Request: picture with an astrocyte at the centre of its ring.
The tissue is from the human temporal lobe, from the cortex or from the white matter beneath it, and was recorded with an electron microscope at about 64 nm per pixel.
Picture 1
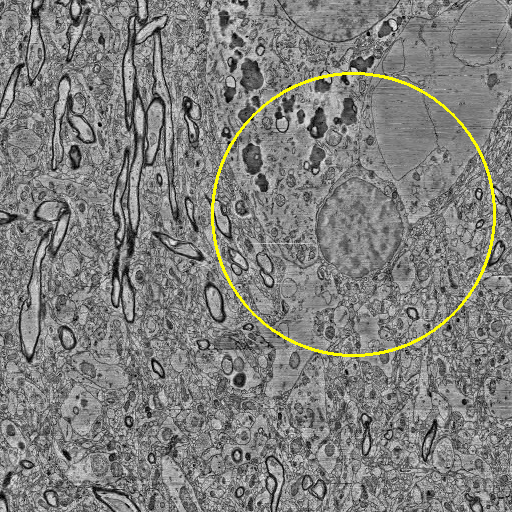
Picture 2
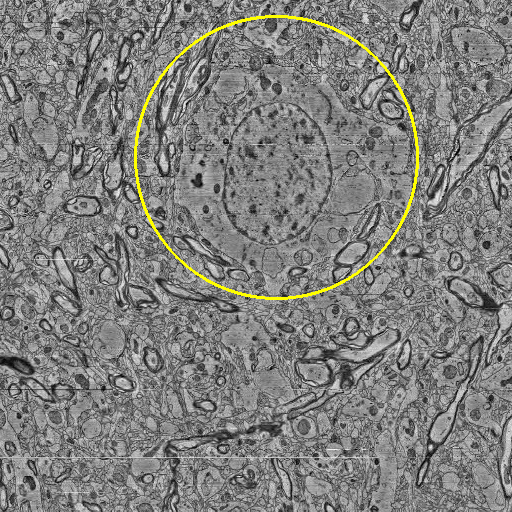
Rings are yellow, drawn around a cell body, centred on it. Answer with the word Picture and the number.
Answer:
Picture 2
